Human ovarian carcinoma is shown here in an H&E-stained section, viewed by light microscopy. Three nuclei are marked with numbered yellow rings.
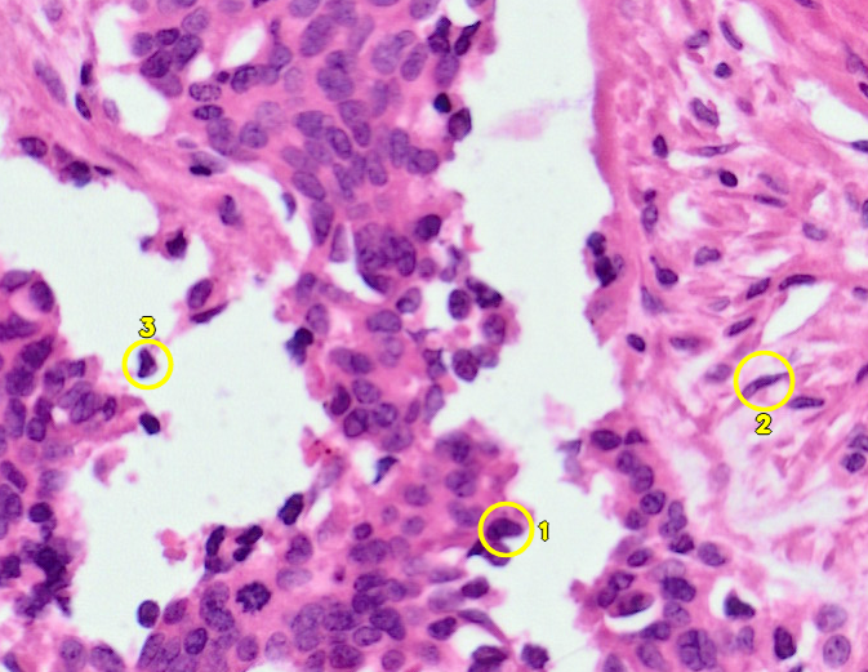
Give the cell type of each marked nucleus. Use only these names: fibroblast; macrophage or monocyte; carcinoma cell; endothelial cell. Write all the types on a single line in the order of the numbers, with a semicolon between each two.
carcinoma cell; fibroblast; carcinoma cell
